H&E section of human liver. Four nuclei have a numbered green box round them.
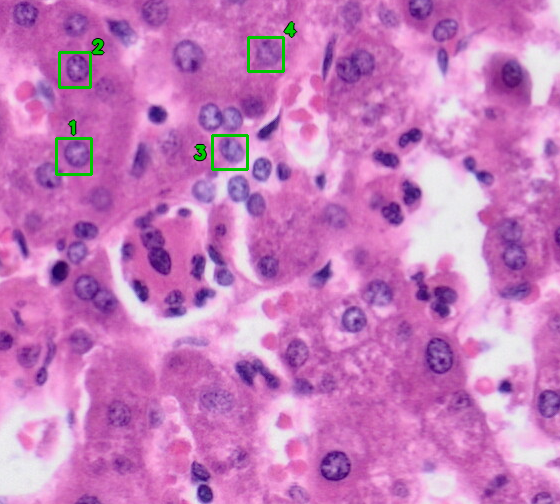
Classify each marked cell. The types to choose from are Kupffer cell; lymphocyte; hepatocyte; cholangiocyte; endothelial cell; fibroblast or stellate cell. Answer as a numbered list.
1. hepatocyte
2. hepatocyte
3. cholangiocyte
4. hepatocyte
